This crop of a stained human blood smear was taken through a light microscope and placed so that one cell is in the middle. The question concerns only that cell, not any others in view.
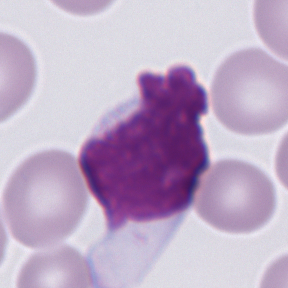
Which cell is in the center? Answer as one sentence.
For this crop, the central cell is a large granular lymphocyte.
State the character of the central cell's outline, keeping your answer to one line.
The cytoplasmic margin is uneven, whether through ragged segments or through projections.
